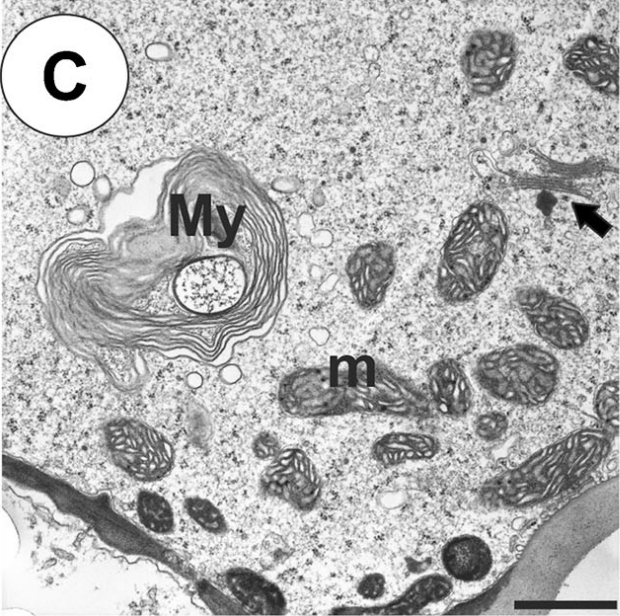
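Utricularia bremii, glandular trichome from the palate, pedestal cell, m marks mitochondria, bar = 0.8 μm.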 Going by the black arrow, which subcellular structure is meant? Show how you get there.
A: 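The black arrow points to a small stack of flattened parallel membrane cisternae. The stack lies in the cytoplasm near the mitochondria.
Hence: dictyosomes.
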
